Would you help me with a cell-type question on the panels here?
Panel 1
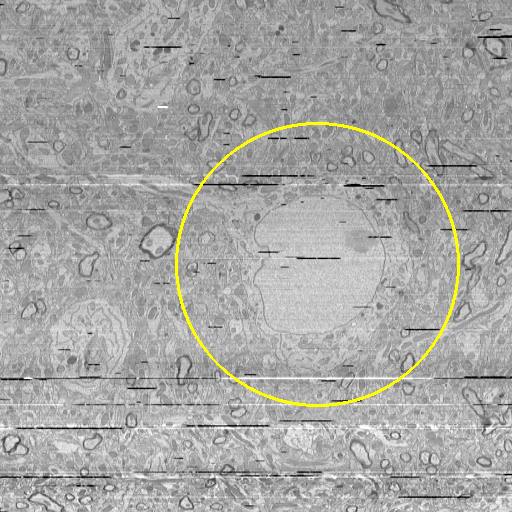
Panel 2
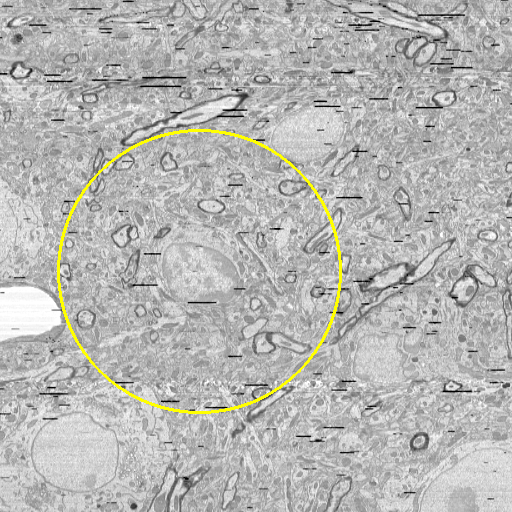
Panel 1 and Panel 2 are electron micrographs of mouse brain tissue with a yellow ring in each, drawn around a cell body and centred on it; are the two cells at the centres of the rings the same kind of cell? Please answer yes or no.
no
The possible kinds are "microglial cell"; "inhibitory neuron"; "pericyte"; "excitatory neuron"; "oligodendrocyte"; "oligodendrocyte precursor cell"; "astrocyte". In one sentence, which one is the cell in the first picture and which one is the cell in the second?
The cell ringed in the second picture is an oligodendrocyte, whereas the one ringed in the first is an excitatory neuron.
